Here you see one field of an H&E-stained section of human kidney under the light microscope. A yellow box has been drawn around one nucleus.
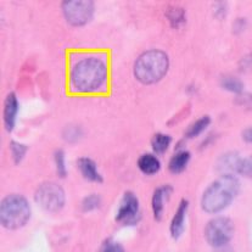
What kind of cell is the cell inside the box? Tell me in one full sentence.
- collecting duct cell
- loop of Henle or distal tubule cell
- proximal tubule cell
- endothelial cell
By cell type, the cell inside the box is a proximal tubule cell.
